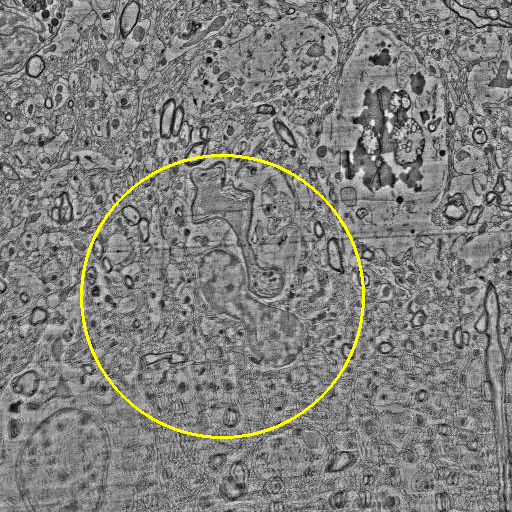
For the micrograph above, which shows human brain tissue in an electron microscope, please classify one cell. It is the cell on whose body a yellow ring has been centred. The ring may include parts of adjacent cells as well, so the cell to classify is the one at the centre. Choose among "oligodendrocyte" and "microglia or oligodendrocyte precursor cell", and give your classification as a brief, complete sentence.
I classify this cell as a microglial cell or oligodendrocyte precursor cell.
